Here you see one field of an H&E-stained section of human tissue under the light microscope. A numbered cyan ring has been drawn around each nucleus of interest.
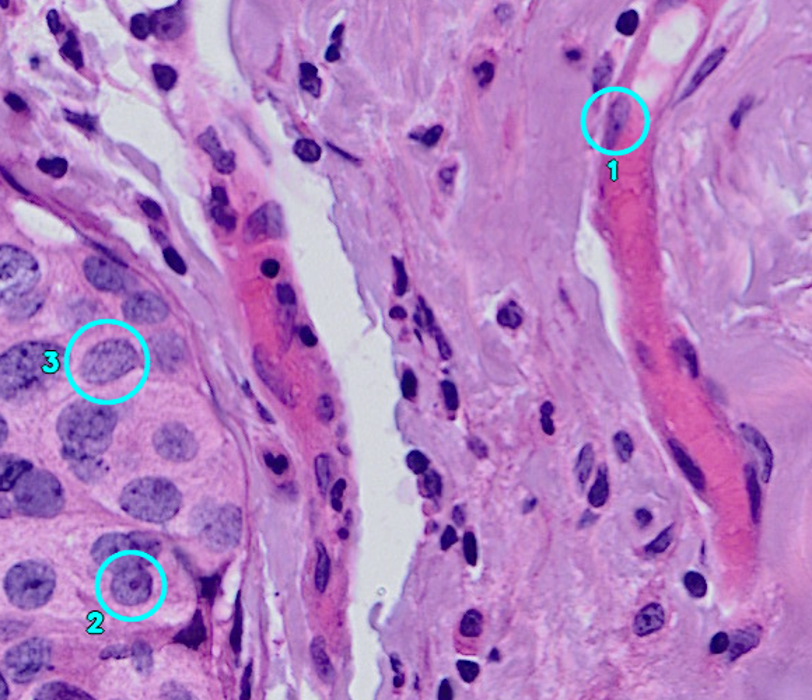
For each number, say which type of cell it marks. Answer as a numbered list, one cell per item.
1. endothelial cell
2. carcinoma cell
3. carcinoma cell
